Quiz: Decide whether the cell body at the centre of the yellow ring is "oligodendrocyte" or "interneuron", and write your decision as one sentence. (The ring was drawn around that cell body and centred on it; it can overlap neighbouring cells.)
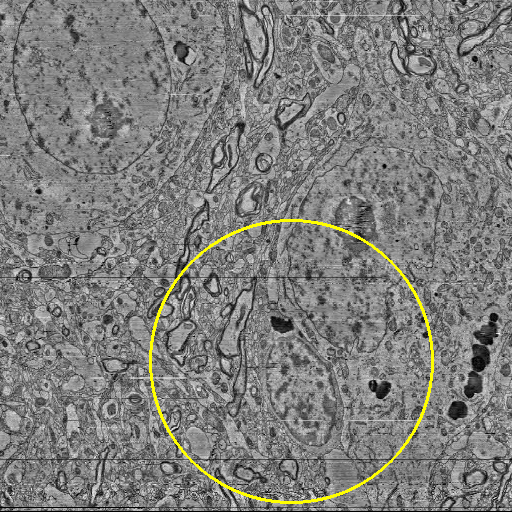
The cell the ring is centred on is an oligodendrocyte.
